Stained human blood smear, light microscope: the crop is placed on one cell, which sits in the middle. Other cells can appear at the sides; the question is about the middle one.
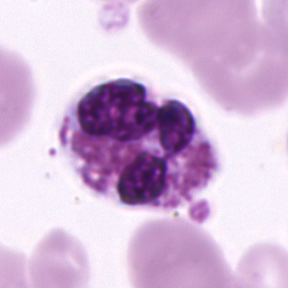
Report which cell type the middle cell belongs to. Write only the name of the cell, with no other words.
eosinophil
